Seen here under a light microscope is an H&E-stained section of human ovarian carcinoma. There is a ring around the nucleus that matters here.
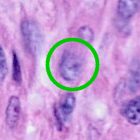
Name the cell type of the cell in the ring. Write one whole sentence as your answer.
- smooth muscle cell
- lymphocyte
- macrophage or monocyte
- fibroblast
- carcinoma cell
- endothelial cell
Assigned to a cell type, the cell in the ring is a fibroblast.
